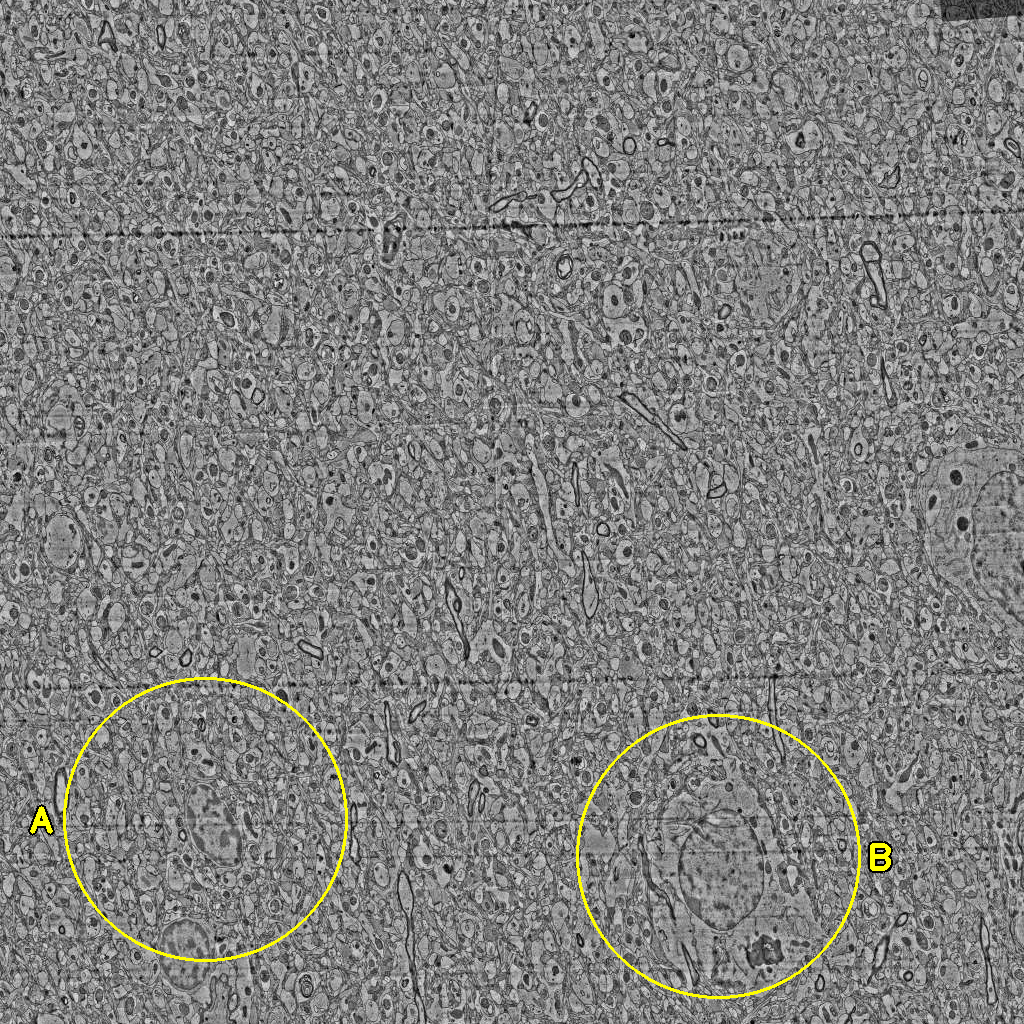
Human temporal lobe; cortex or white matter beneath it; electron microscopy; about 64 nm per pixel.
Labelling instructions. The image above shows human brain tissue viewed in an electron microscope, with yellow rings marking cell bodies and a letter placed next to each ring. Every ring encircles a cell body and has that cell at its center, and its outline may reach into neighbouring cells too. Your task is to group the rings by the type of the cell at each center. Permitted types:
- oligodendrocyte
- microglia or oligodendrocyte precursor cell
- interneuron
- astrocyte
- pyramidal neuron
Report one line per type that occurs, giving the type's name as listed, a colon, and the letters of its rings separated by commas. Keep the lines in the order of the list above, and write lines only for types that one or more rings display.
microglia or oligodendrocyte precursor cell: A
astrocyte: B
